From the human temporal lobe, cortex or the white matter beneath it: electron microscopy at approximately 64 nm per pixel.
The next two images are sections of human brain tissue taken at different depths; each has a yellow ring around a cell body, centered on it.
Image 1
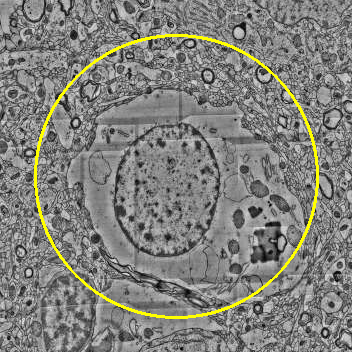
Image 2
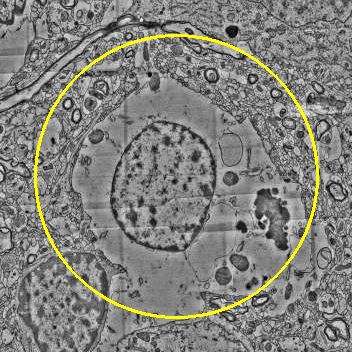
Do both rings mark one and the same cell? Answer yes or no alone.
yes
